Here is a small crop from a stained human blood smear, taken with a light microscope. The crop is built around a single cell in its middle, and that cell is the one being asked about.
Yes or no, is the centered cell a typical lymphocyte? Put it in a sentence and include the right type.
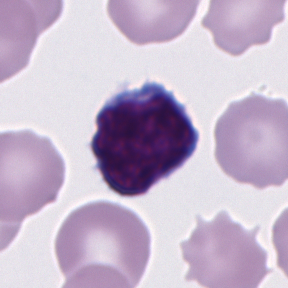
Yes, the identification of the central cell as a typical lymphocyte is correct.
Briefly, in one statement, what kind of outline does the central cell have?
The edge of the cell is broken up by ragged stretches or by outward projections.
